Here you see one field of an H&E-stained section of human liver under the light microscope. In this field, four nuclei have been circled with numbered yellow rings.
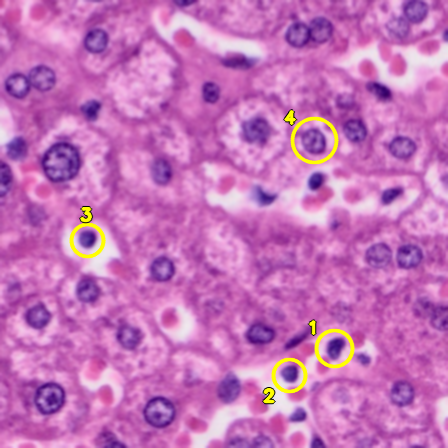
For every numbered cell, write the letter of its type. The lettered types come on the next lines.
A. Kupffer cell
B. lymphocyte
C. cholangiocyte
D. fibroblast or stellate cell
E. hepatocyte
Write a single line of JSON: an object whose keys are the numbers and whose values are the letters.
{"1": "B", "2": "B", "3": "B", "4": "E"}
